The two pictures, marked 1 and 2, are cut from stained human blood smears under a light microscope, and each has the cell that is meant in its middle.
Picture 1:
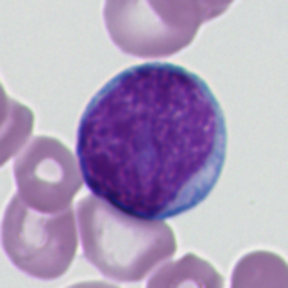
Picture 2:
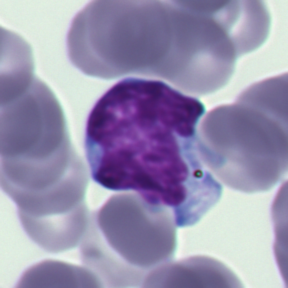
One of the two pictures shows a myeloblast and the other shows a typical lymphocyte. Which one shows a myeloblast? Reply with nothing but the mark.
1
